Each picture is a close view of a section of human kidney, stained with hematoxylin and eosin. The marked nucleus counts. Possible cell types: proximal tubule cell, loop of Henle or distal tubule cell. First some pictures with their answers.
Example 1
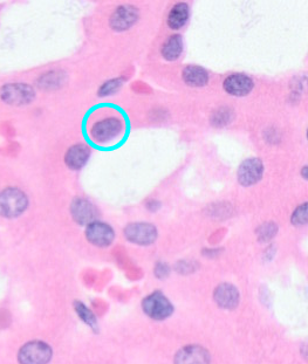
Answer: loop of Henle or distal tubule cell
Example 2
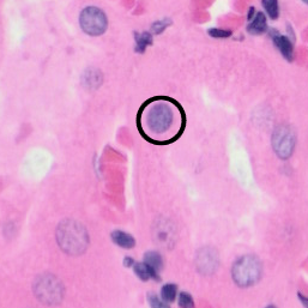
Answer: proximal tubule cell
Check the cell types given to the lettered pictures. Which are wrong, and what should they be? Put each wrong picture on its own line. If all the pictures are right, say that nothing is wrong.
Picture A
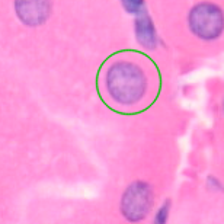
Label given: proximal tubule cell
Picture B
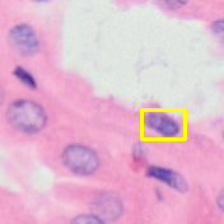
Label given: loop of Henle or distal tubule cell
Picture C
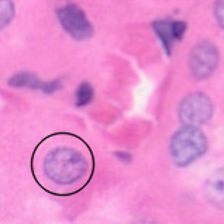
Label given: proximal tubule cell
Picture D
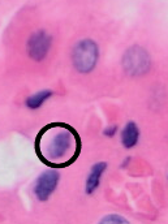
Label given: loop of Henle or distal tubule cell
None of the labels needs changing.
